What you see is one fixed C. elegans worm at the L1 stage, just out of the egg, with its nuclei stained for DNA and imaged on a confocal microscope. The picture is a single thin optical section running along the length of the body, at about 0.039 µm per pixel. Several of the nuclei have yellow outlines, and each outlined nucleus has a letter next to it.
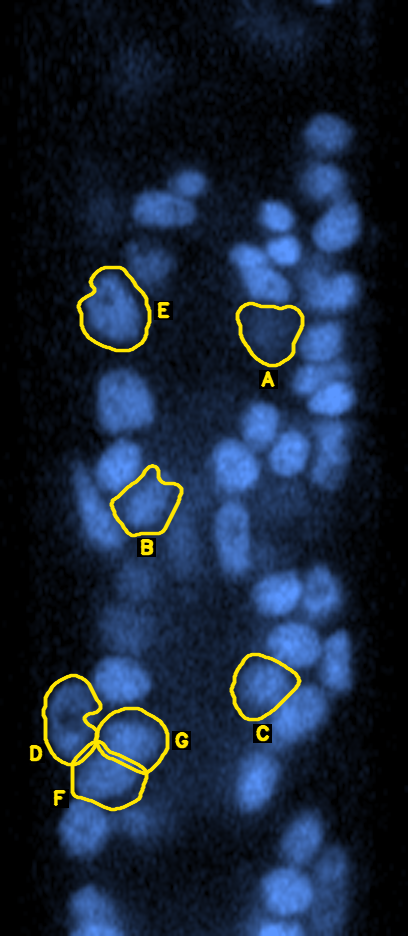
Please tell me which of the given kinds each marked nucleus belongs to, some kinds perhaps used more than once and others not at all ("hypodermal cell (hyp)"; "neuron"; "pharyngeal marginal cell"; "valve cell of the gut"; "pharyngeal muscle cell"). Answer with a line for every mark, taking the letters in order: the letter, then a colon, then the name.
A: pharyngeal marginal cell
B: pharyngeal muscle cell
C: neuron
D: hypodermal cell (hyp)
E: pharyngeal muscle cell
F: neuron
G: neuron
